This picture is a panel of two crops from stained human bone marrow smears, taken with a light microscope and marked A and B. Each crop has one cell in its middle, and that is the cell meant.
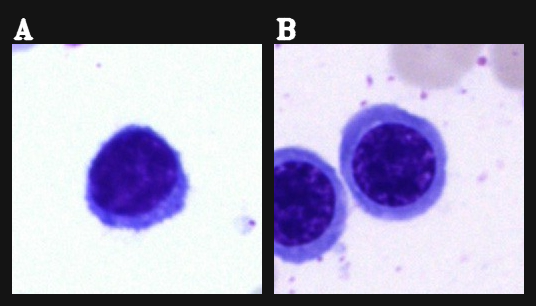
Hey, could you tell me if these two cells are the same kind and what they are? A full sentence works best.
No, crop A matches a lymphocyte and crop B matches an erythroblast.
